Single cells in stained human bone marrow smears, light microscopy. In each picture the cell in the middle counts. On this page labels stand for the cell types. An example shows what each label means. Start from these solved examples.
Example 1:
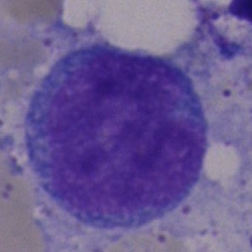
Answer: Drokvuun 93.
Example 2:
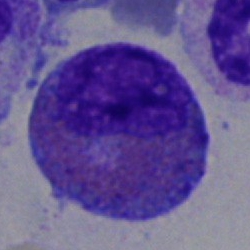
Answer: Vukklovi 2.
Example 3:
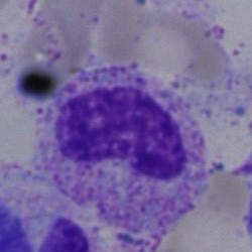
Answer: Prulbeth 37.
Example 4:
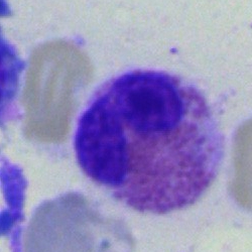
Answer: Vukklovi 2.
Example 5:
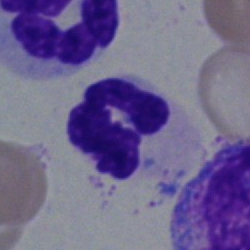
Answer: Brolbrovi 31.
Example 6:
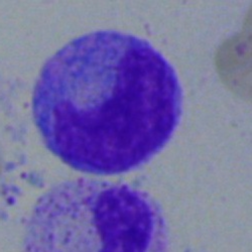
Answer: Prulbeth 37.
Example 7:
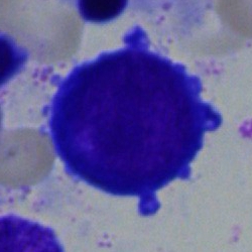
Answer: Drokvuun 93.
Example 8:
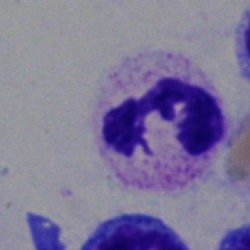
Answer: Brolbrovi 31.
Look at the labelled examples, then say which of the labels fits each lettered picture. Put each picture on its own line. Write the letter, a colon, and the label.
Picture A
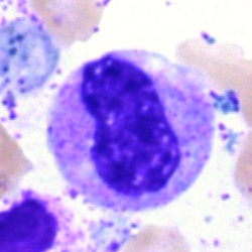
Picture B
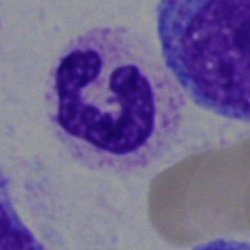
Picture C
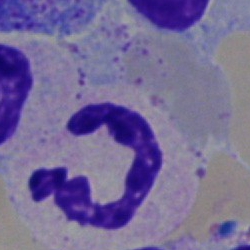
A: Prulbeth 37.
B: Brolbrovi 31.
C: Brolbrovi 31.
